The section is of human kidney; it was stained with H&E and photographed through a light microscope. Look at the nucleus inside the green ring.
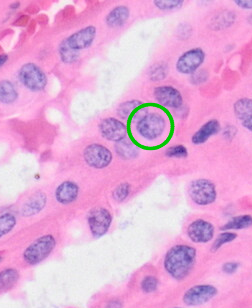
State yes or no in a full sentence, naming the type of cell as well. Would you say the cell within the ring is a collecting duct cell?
Yes, it is the case that the cell within the ring is a collecting duct cell.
